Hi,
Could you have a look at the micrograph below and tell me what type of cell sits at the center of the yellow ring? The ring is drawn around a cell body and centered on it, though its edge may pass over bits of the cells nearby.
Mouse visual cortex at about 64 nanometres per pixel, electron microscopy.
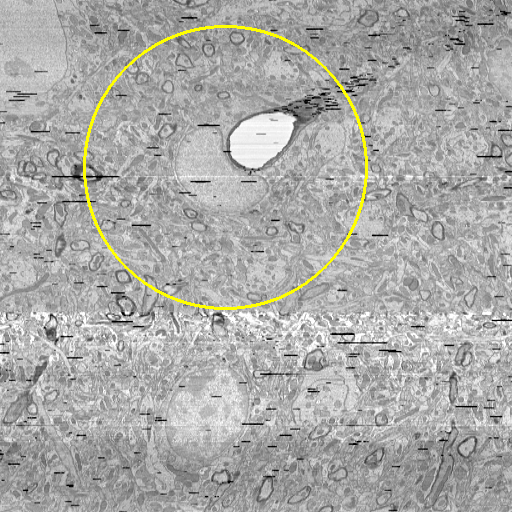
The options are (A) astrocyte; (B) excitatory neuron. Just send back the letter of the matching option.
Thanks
A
